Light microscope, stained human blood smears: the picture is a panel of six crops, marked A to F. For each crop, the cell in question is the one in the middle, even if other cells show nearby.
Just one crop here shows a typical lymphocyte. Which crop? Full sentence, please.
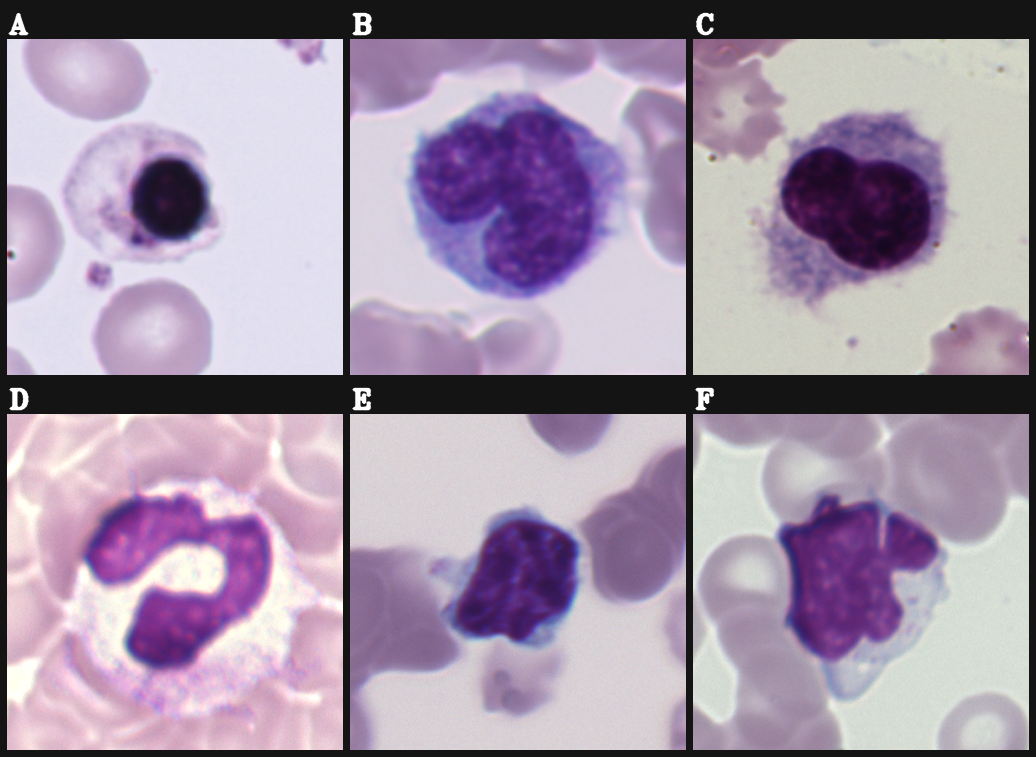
The correct choice is crop E, the one showing a typical lymphocyte.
